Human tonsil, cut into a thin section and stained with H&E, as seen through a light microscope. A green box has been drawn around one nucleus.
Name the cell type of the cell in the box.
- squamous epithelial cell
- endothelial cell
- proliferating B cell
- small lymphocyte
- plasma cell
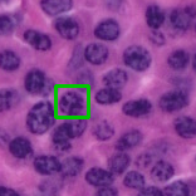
plasma cell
